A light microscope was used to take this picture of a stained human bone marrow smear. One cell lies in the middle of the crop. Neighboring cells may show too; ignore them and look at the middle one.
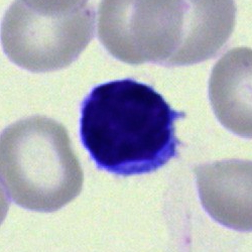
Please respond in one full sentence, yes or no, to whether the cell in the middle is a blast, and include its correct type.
No, the cell in the middle of the crop counts as a lymphocyte and not as a blast.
